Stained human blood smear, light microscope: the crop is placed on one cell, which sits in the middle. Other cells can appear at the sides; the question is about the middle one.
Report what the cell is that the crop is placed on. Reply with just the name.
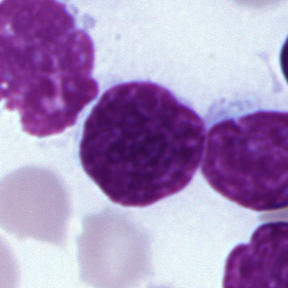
myeloblast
